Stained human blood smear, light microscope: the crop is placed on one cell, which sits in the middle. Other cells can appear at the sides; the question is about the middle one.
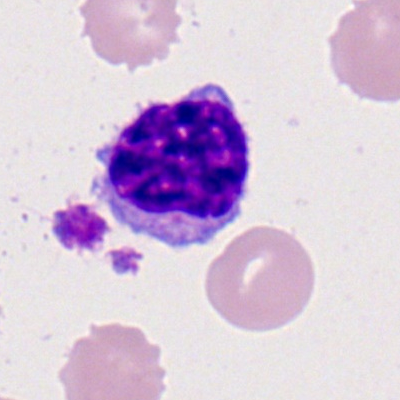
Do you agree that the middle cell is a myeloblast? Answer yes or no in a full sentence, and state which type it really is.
No, the cell placed in the centre is a lymphocyte and is not a myeloblast.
